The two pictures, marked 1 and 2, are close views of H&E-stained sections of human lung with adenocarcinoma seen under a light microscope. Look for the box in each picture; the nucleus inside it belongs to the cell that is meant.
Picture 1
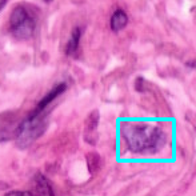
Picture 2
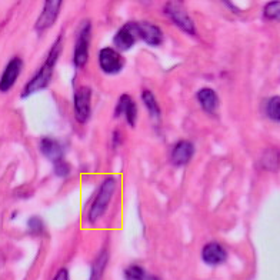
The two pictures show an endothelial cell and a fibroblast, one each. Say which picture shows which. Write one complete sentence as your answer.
Picture 2 shows an endothelial cell, while picture 1 shows a fibroblast.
